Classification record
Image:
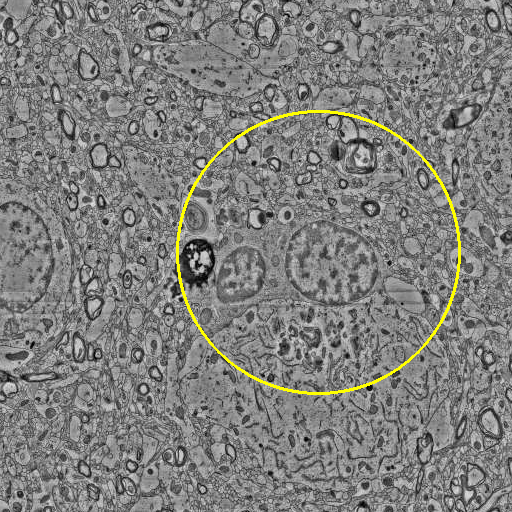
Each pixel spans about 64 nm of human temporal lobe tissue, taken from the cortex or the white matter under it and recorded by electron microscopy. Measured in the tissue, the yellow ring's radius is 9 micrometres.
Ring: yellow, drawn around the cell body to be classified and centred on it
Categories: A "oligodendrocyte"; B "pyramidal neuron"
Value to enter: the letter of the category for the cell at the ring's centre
A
